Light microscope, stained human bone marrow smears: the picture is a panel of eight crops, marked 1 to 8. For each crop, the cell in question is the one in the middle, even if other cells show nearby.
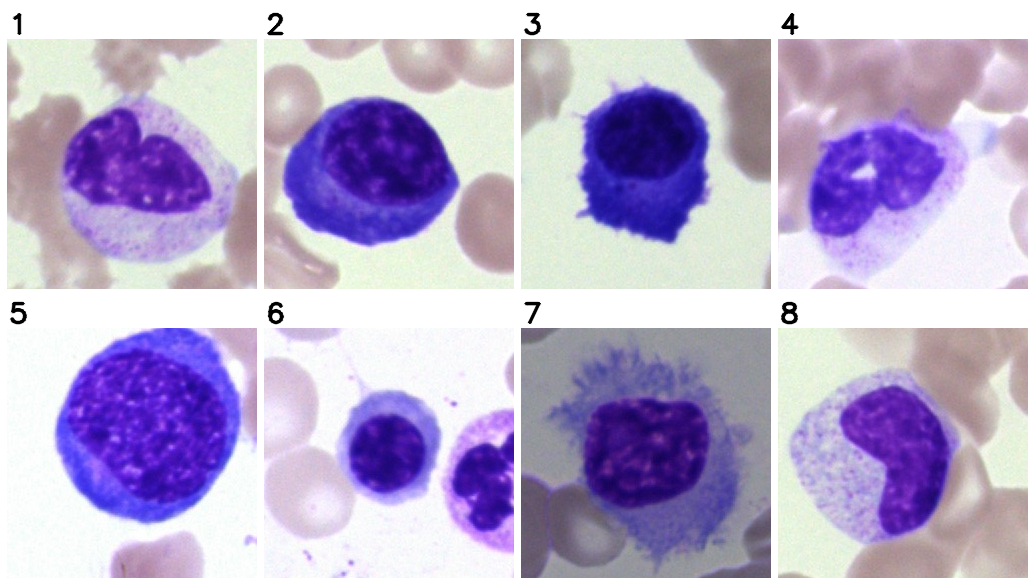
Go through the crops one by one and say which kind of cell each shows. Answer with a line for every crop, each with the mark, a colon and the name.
1: metamyelocyte
2: plasma cell
3: plasma cell
4: band neutrophil
5: erythroblast
6: erythroblast
7: hairy cell
8: metamyelocyte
